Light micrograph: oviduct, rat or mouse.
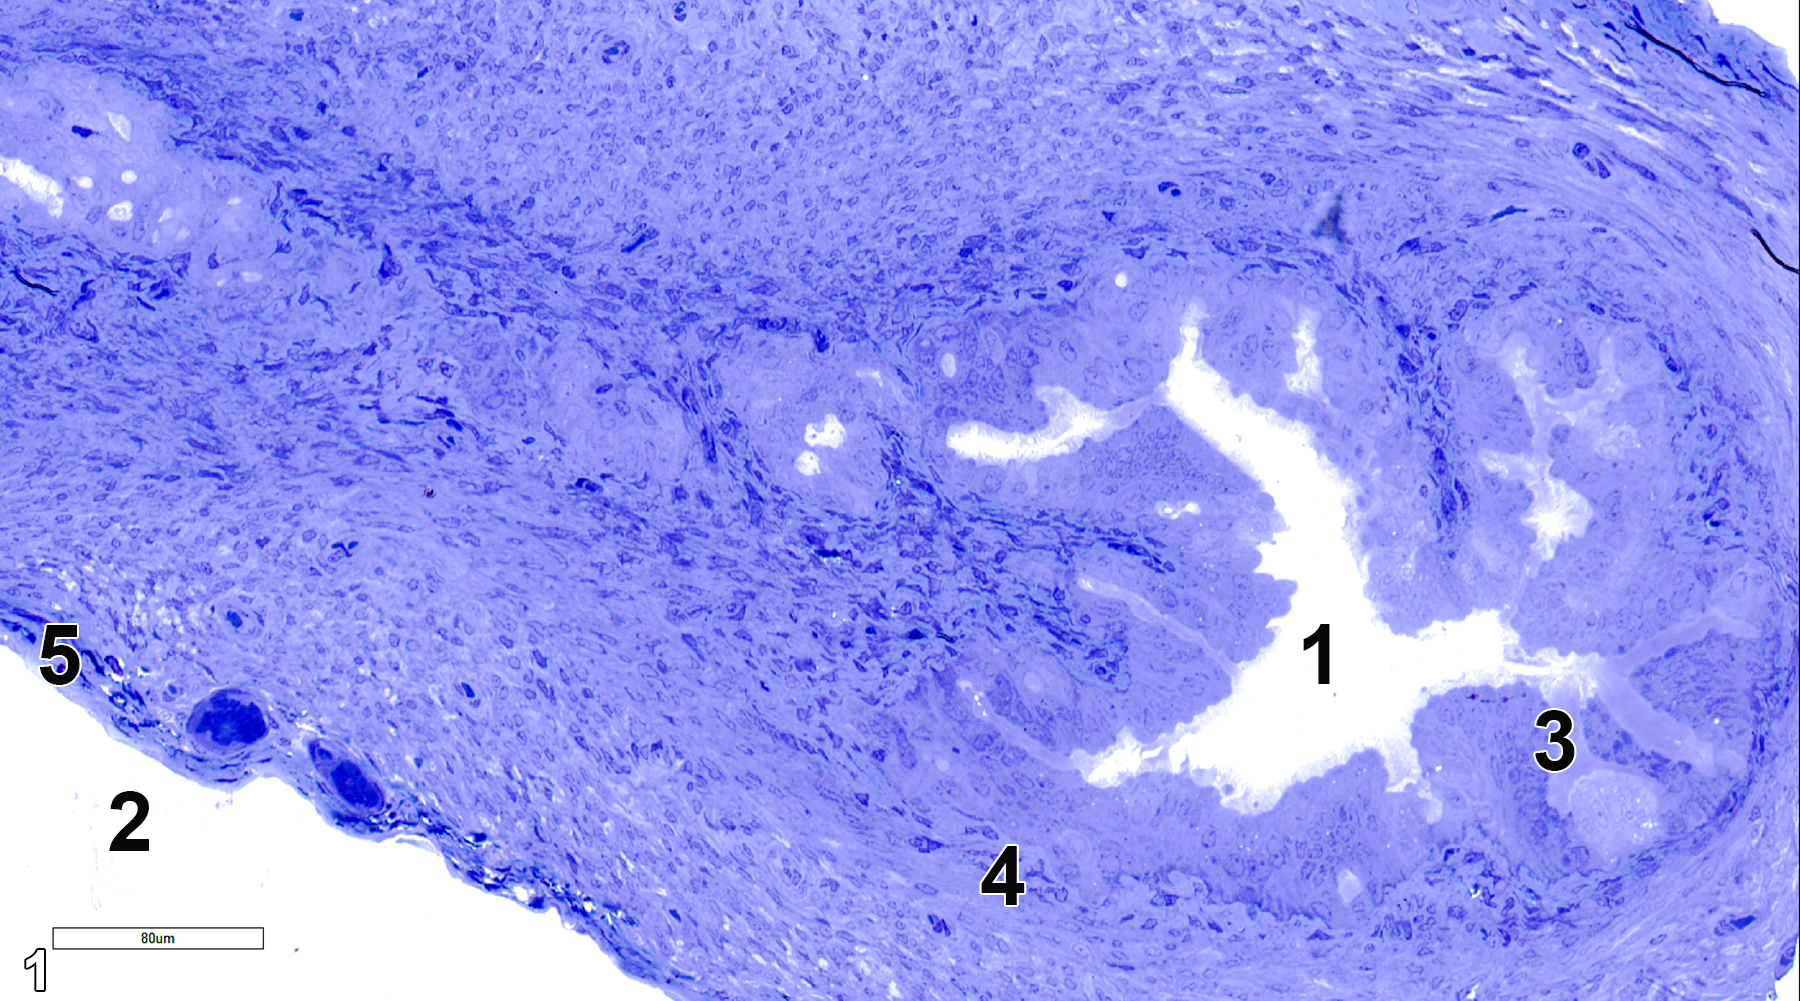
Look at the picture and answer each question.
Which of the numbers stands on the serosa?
5.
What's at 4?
At 4: muscularis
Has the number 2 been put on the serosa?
No, 2 marks the peritoneal cavity.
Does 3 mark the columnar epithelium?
Yes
